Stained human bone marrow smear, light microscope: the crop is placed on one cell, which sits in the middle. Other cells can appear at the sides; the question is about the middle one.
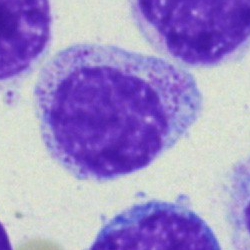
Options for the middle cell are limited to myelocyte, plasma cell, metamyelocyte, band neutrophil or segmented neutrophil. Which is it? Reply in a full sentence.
To answer, the cell in the center of the crop is a myelocyte.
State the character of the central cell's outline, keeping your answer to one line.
There are no projections here; the outline is simply smooth.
